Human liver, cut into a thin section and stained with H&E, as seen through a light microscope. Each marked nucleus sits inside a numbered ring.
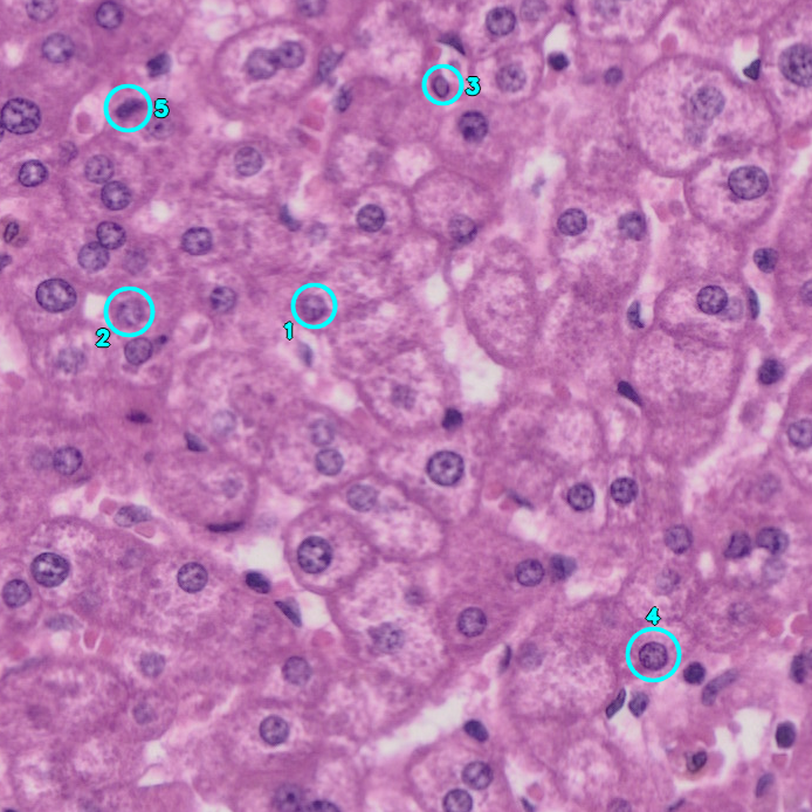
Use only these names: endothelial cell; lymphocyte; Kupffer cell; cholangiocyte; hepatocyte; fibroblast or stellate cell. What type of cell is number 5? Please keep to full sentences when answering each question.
The cell given label 5 is a fibroblast or stellate cell.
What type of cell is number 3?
The marked cell bearing number 3 is a Kupffer cell.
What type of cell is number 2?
The cell indicated with the number 2 is classed as a hepatocyte.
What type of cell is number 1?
The cell referenced by the number 1 is a hepatocyte in this field.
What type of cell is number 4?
The mark numbered 4 indicates the nucleus of a hepatocyte.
